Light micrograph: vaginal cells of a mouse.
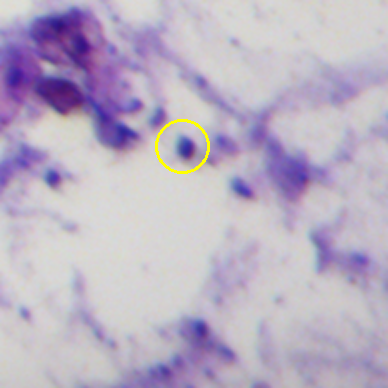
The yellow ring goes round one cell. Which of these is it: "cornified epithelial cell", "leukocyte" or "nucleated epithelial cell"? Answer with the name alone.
leukocyte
